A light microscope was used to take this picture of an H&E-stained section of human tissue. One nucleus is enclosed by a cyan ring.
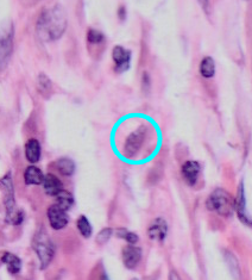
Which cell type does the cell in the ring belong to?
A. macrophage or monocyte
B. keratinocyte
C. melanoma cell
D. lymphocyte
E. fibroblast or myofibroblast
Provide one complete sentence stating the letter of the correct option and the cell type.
Exactly as option A gives it, the cell in the ring is a macrophage or monocyte.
